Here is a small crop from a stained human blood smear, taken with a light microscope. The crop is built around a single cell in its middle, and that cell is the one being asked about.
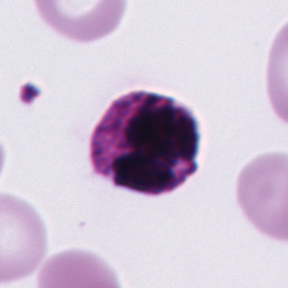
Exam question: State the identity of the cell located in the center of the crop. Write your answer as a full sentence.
The centrally placed cell is classified as a basophil.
